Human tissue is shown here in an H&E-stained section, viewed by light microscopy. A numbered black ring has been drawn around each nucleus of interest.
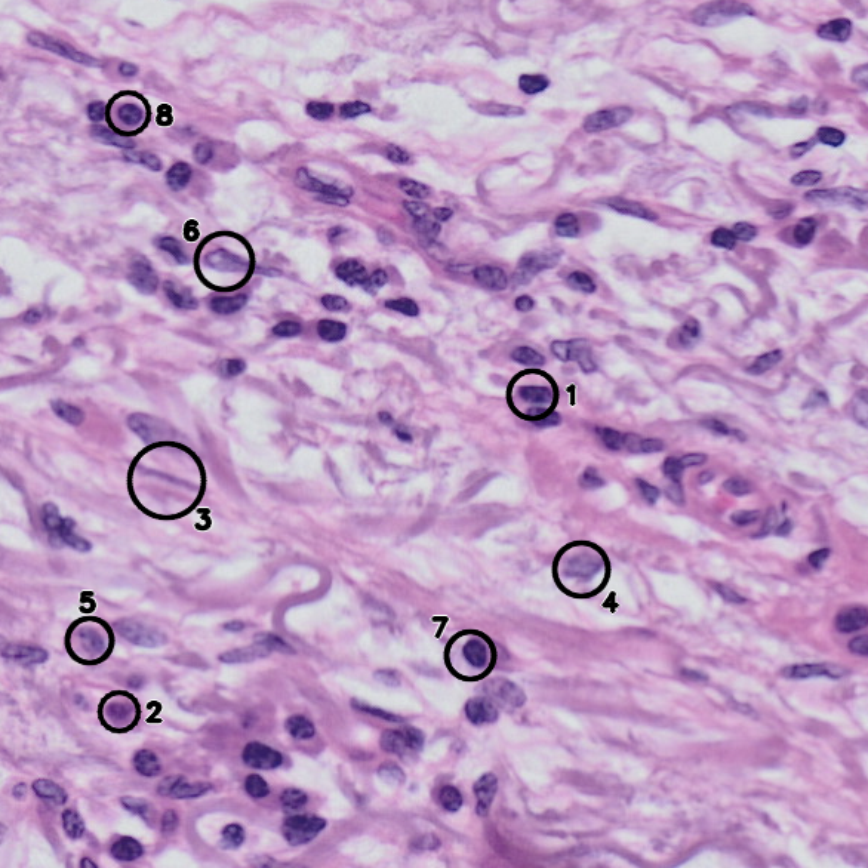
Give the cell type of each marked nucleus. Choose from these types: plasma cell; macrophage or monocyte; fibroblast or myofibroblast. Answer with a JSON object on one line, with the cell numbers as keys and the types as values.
{"1": "plasma cell", "2": "plasma cell", "3": "fibroblast or myofibroblast", "4": "fibroblast or myofibroblast", "5": "macrophage or monocyte", "6": "fibroblast or myofibroblast", "7": "plasma cell", "8": "plasma cell"}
